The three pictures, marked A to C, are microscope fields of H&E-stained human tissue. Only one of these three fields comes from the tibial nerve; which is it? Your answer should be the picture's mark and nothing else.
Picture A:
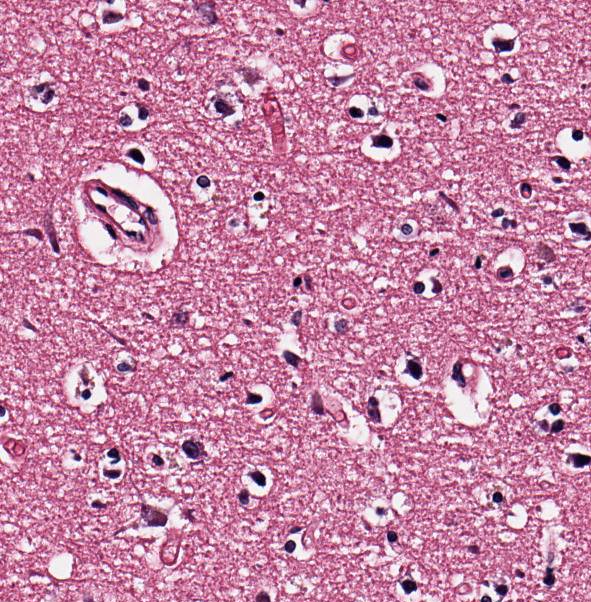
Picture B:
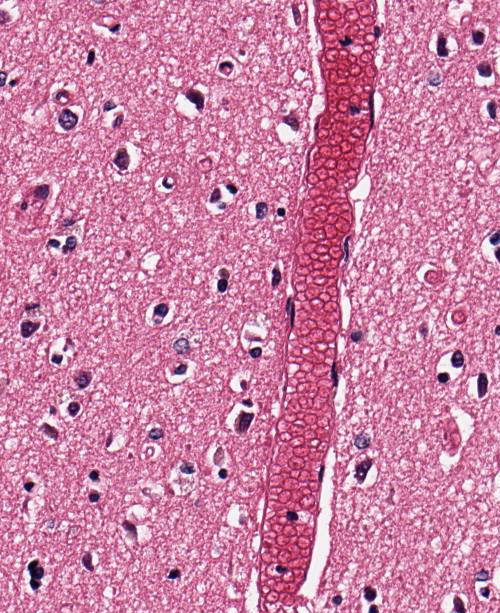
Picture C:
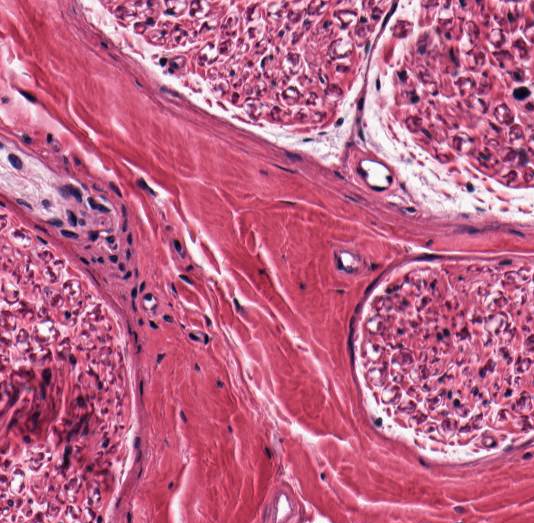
C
